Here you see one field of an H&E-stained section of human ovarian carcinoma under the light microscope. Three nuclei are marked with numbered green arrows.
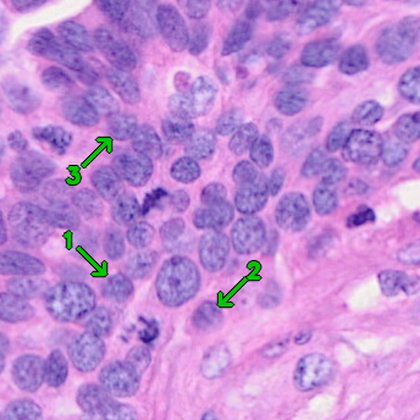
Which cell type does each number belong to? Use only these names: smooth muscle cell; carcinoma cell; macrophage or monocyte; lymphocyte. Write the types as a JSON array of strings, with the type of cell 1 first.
["carcinoma cell", "macrophage or monocyte", "carcinoma cell"]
